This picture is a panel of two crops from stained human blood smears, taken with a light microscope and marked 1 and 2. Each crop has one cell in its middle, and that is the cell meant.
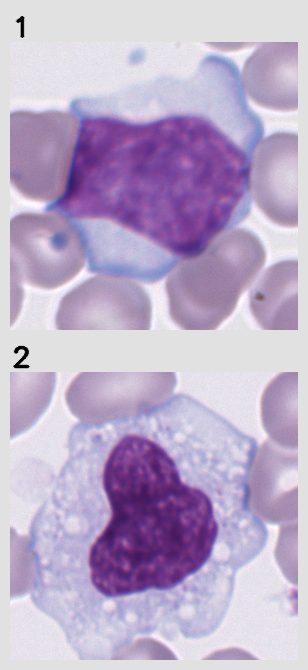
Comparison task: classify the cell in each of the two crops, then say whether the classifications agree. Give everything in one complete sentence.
No, crop 1 is home to a myeloblast, and crop 2 to a monocyte.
